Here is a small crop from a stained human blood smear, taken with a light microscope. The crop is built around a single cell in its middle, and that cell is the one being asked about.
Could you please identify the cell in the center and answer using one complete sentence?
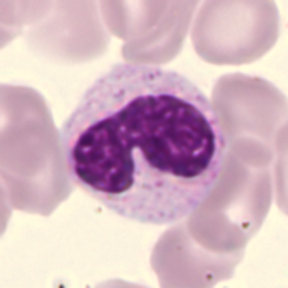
Centrally within this crop lies a band neutrophil.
